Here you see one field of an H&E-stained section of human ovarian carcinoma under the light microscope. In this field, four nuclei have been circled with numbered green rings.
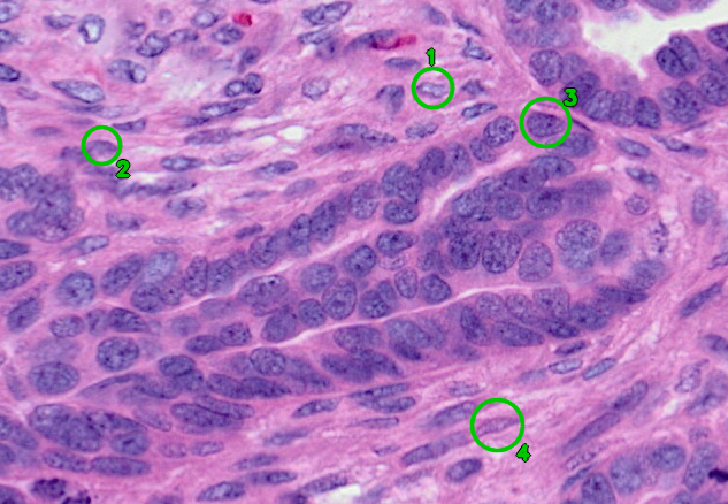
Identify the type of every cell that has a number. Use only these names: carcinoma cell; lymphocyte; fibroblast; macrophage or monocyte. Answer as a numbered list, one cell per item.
1. fibroblast
2. fibroblast
3. carcinoma cell
4. fibroblast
